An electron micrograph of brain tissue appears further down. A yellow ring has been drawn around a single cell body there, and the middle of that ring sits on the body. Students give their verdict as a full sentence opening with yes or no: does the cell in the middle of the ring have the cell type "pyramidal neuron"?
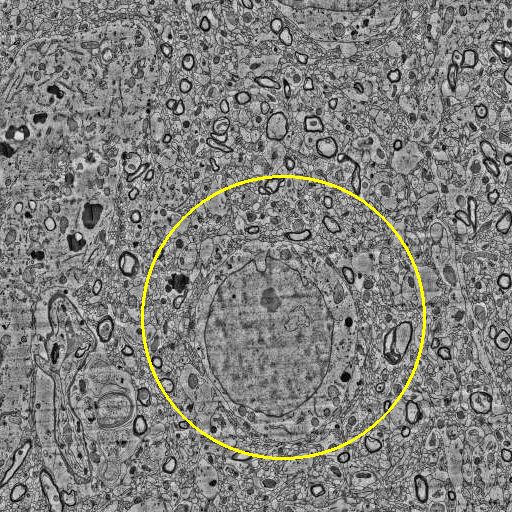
Yes, in this picture the cell sitting at the middle of the ring has that cell type.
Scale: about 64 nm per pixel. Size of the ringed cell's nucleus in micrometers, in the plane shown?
The ringed cell's nucleus measures approximately 10 by 8 micrometres in this plane.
